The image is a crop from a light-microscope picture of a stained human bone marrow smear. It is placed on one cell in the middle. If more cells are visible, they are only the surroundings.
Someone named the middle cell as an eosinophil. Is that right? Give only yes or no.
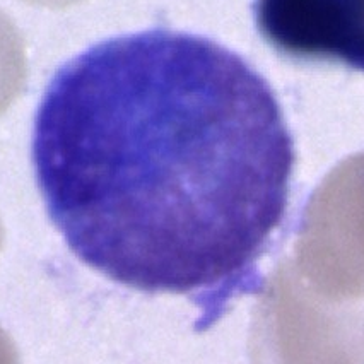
yes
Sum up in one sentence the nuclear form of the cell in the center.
The nuclear material is gathered into one compact round, oval or kidney-shaped mass.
